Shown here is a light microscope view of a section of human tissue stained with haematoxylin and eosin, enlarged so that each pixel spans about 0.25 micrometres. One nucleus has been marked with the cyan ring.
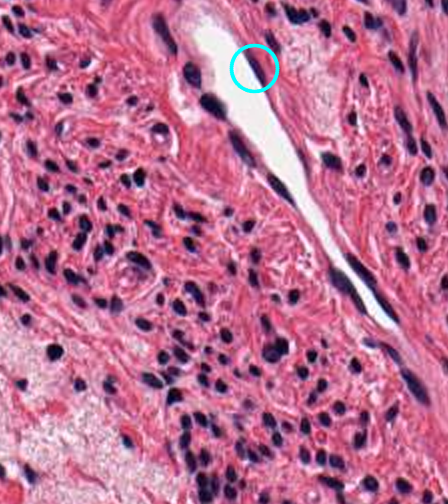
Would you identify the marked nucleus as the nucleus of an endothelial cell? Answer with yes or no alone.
yes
